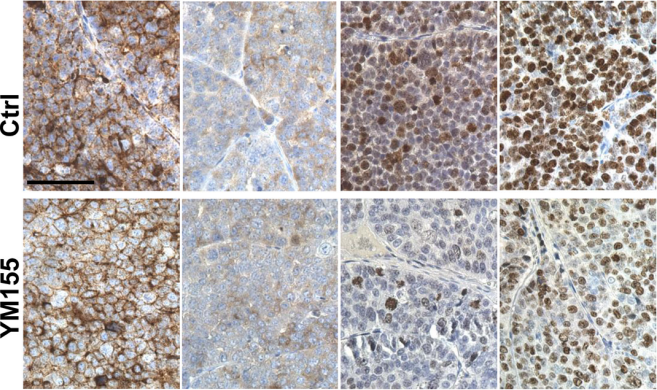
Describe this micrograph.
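Thin strands of fibrovascular stroma with slender, elongated nuclei run between the nests. The tumor cells have round to oval nuclei with fine chromatin, counterstained blue, and a moderate rim of cytoplasm. In the first column the brown stain outlines the cell borders and fills the cytoplasm, while in the second column it is a faint, finely granular cytoplasmic blush. In the third and fourth columns the brown stain lies mainly in the nuclei, and in the lower field of the third column far fewer nuclei are brown than in the upper one.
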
